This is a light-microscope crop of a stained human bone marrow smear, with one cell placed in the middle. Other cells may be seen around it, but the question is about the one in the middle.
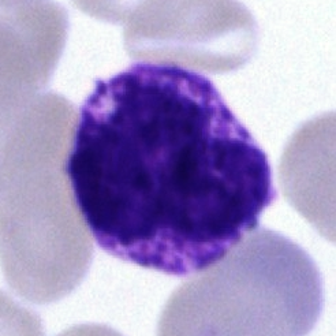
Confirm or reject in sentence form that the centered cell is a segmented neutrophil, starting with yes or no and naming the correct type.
No, looking at the central cell, it is a basophil rather than a segmented neutrophil.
